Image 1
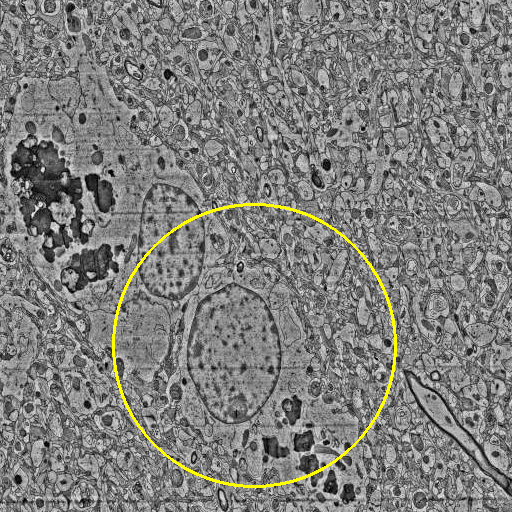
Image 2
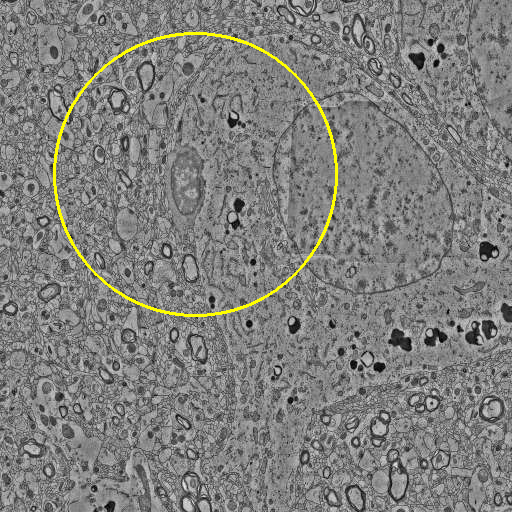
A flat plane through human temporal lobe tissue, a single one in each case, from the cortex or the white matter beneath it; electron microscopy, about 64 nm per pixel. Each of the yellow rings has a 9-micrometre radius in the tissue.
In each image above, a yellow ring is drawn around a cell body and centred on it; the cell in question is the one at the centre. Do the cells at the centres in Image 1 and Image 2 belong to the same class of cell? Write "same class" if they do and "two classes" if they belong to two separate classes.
two classes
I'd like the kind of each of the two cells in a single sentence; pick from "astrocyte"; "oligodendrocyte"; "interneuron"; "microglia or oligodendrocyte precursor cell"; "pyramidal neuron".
The first ring marks an astrocyte, and the second ring marks an oligodendrocyte.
